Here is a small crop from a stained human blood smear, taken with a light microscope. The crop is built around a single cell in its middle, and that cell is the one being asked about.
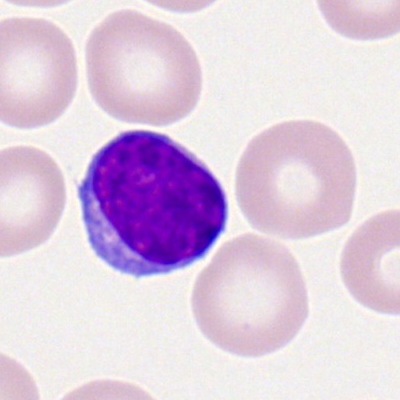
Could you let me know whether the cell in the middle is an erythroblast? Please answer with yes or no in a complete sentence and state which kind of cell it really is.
No, what lies at the heart of the crop is a lymphocyte, not an erythroblast.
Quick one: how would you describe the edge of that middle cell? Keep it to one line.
Around its whole circumference the outline stays smooth, free of projections.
